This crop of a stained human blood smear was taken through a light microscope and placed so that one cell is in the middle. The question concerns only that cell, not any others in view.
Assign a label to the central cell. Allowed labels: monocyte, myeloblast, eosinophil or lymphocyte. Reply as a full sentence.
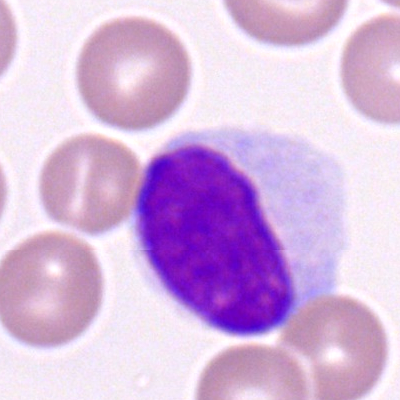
Whatever else lies nearby, the middle cell is a lymphocyte.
